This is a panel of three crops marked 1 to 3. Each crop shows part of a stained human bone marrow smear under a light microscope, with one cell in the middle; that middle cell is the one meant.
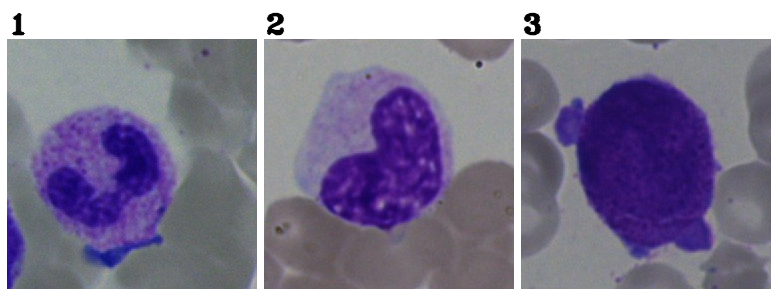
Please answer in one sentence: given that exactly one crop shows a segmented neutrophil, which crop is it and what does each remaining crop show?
Crop 1 goes down as a segmented neutrophil, while crop 2 is a band neutrophil and crop 3 is a blast.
